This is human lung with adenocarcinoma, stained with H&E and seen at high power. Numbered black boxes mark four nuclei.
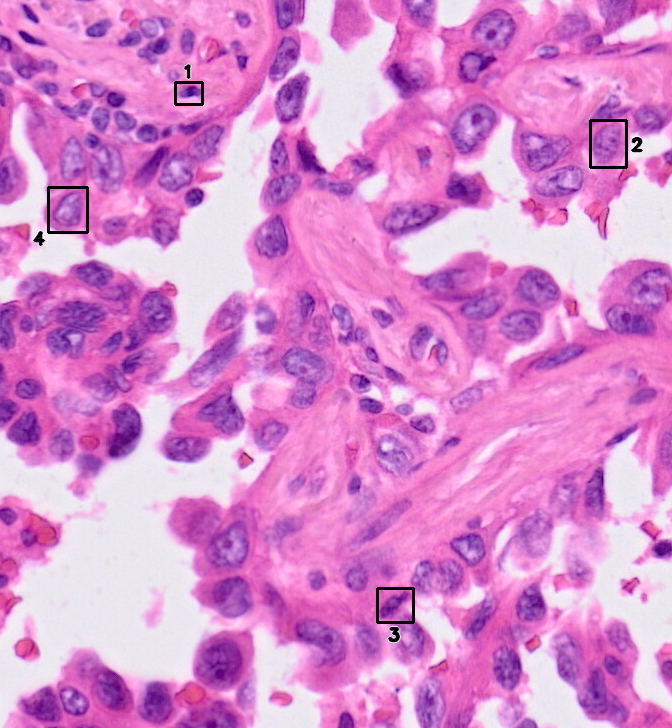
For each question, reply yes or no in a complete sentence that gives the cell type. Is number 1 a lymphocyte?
Yes, among the marked cells, the one with number 1 is a lymphocyte.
